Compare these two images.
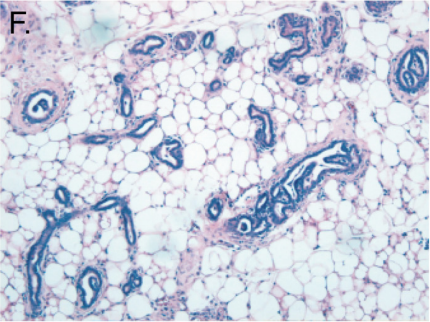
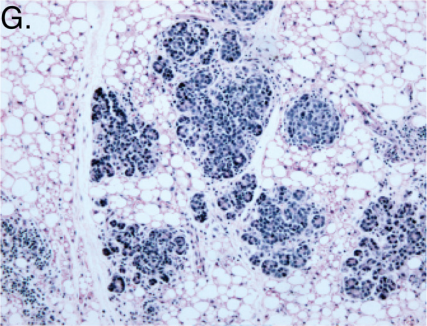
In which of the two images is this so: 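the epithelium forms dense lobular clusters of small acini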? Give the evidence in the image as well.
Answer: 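First image: separate tubular profiles with open lumens and pink stromal collars, no acinar clusters. Second image: large densely purple lobules made of many small packed acini. On this evidence: the second image.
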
